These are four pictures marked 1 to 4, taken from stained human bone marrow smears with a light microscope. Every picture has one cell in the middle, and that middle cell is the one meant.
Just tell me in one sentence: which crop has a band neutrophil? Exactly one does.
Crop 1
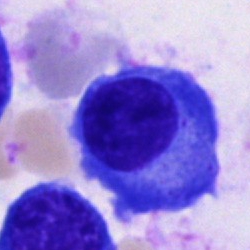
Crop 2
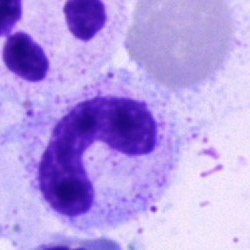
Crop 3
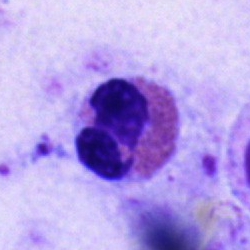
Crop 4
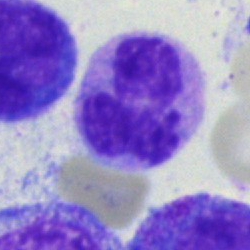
Among all the crops given here, the one with a band neutrophil is crop 2.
